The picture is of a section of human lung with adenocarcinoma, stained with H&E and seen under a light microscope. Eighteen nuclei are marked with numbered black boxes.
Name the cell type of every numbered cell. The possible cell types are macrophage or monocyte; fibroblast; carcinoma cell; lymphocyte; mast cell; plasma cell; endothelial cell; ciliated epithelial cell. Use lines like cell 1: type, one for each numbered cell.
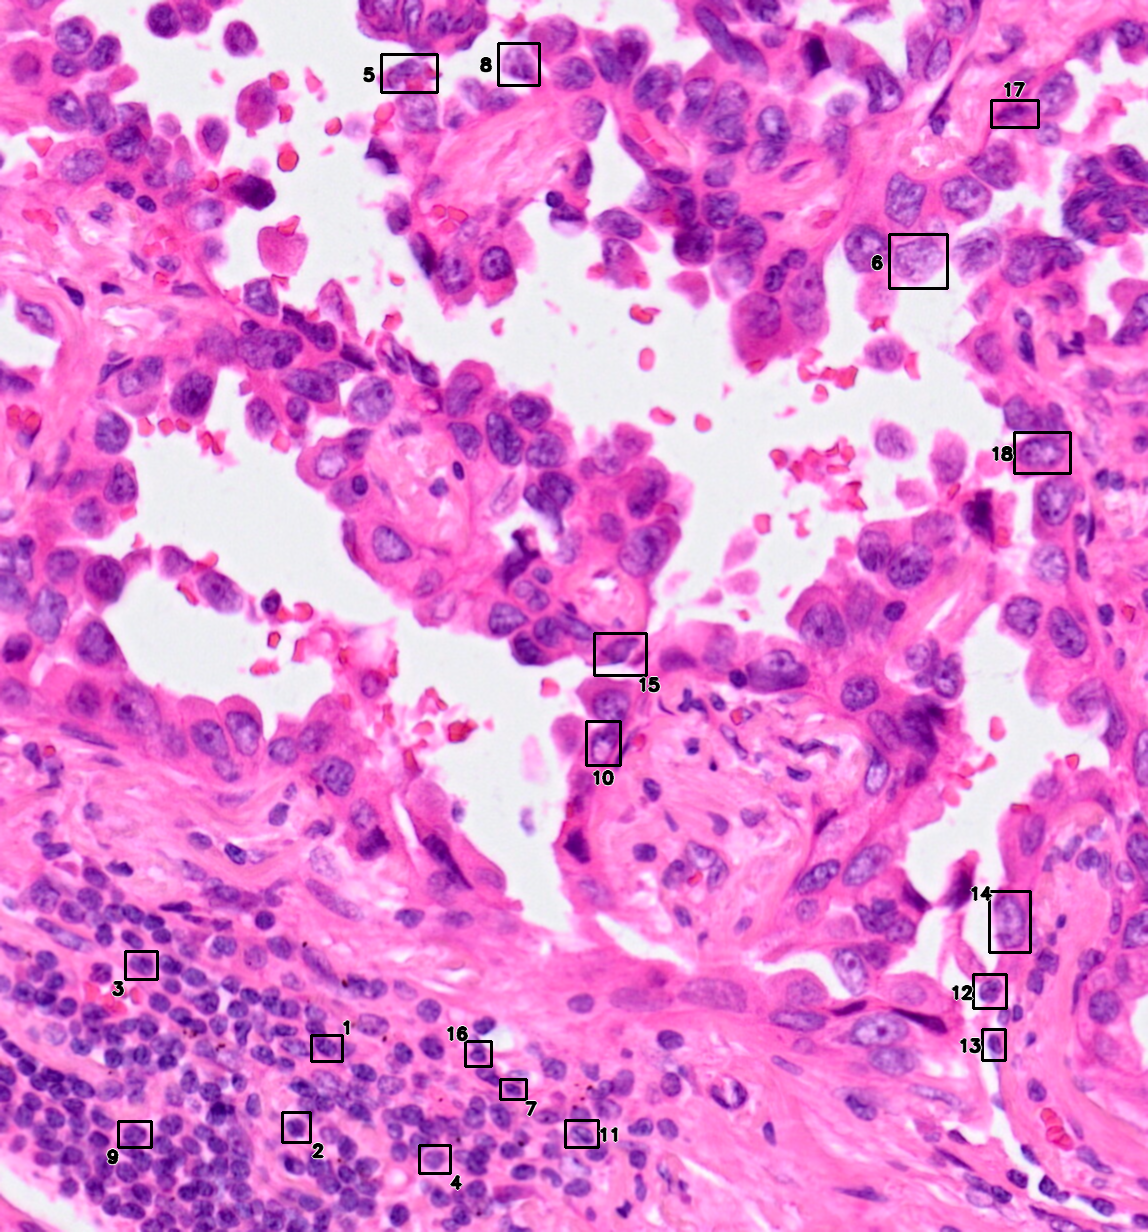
cell 1: lymphocyte
cell 2: lymphocyte
cell 3: lymphocyte
cell 4: lymphocyte
cell 5: carcinoma cell
cell 6: carcinoma cell
cell 7: lymphocyte
cell 8: carcinoma cell
cell 9: lymphocyte
cell 10: carcinoma cell
cell 11: lymphocyte
cell 12: lymphocyte
cell 13: lymphocyte
cell 14: carcinoma cell
cell 15: carcinoma cell
cell 16: lymphocyte
cell 17: carcinoma cell
cell 18: carcinoma cell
